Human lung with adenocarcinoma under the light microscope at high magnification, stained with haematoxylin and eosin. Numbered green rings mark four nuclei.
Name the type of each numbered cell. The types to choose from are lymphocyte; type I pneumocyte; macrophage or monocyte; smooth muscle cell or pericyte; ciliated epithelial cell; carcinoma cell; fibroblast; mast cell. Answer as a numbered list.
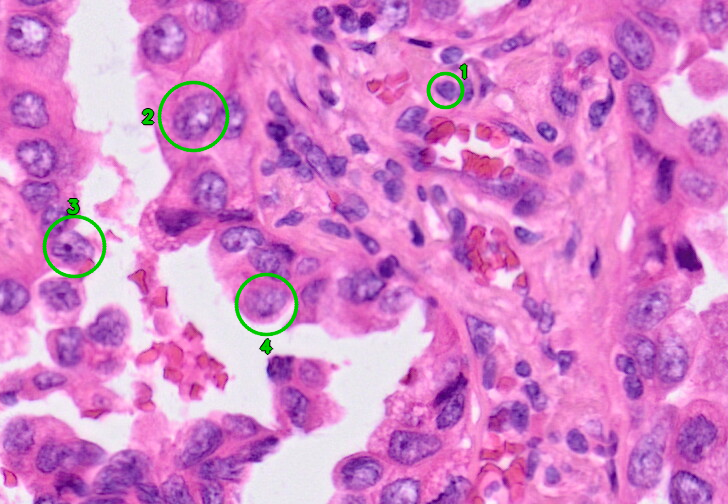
1. lymphocyte
2. carcinoma cell
3. carcinoma cell
4. carcinoma cell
